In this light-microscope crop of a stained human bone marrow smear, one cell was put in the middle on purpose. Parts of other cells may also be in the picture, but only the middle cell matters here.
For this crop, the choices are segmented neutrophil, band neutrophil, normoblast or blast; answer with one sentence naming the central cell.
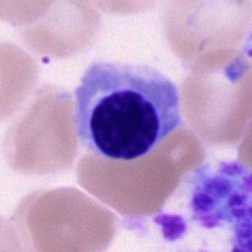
For this crop, the cell in the middle is a normoblast.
